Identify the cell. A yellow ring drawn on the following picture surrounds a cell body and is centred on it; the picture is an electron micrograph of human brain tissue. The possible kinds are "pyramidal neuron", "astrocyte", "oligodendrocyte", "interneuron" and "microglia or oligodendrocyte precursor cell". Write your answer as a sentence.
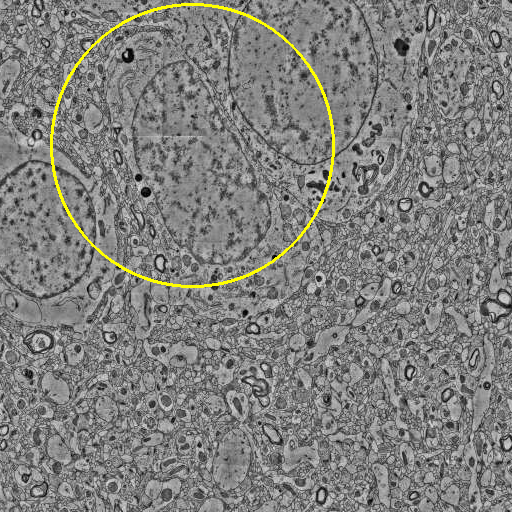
The cell identified by the ring is an interneuron.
